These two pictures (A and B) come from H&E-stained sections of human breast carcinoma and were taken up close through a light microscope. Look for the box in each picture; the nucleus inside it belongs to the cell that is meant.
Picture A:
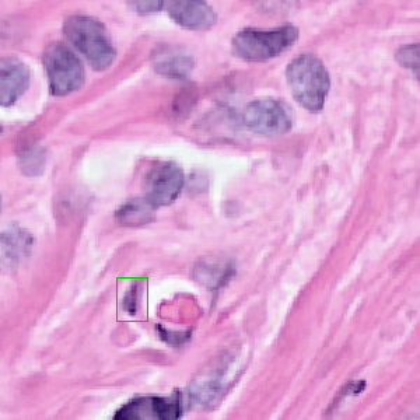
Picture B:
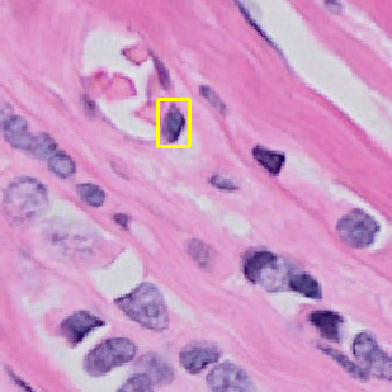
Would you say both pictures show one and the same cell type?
yes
